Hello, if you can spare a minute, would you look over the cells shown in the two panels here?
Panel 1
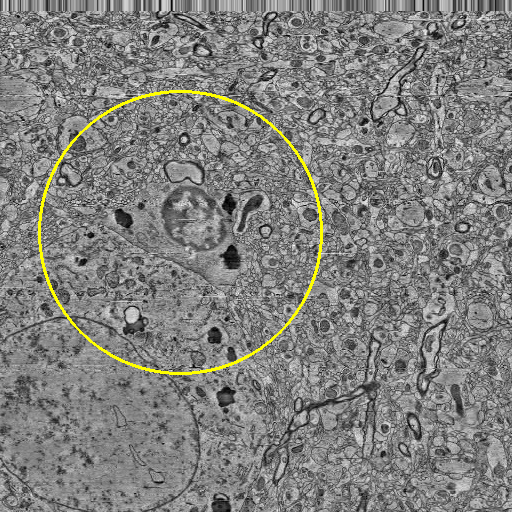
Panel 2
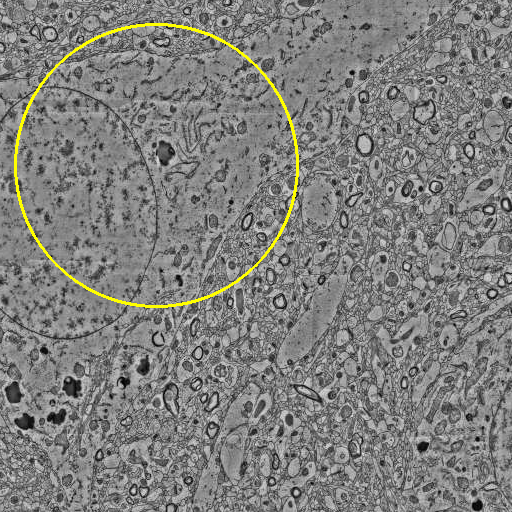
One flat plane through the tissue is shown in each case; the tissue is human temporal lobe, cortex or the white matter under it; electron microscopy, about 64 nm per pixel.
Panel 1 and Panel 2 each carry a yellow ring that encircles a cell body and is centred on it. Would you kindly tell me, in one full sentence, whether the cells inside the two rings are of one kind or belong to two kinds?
The cells at the centres of the rings in Panel 1 and Panel 2 belong to two kinds.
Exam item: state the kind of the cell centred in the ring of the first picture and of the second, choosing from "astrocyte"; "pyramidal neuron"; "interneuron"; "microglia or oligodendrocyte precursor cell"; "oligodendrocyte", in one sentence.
The first picture shows an oligodendrocyte at the ring centre and the second shows a pyramidal neuron.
